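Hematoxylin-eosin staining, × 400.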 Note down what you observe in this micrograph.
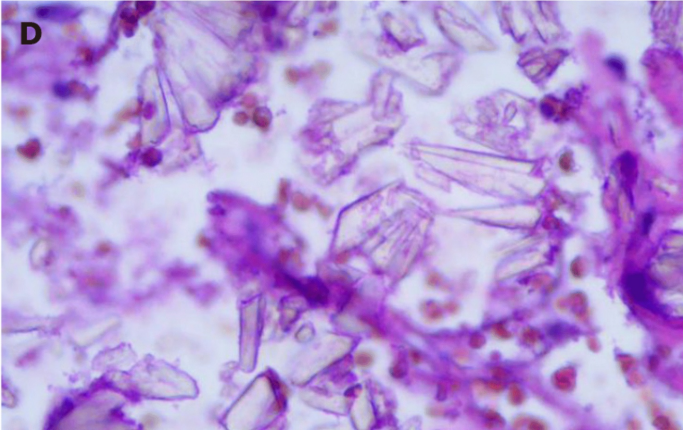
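Some are slender and rod-like, while others are broader and plate-like or rhomboid. Small round brownish bodies are scattered among them.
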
